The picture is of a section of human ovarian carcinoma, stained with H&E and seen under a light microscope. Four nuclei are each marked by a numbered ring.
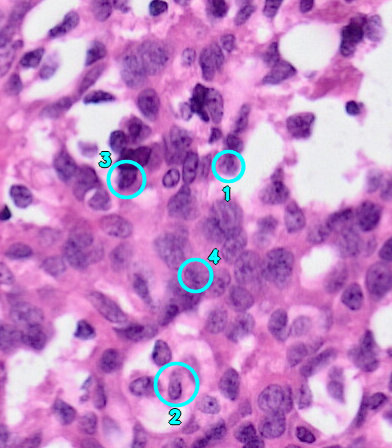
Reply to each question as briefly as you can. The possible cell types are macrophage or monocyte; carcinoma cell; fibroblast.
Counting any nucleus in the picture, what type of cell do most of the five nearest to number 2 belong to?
macrophage or monocyte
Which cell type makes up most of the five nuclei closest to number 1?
carcinoma cell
